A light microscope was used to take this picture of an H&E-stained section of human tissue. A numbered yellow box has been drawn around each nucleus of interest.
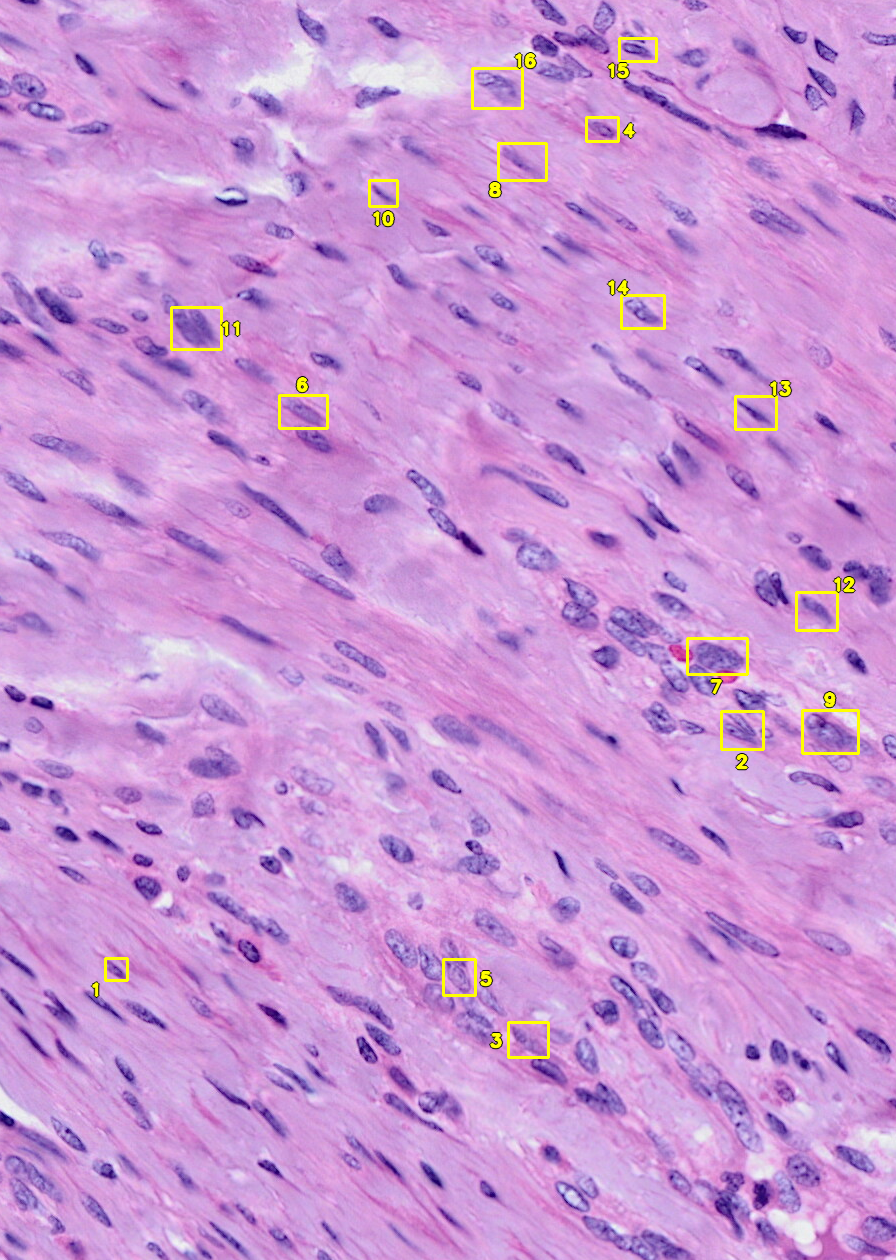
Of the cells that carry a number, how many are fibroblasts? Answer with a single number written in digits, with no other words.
7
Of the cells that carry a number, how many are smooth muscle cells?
4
